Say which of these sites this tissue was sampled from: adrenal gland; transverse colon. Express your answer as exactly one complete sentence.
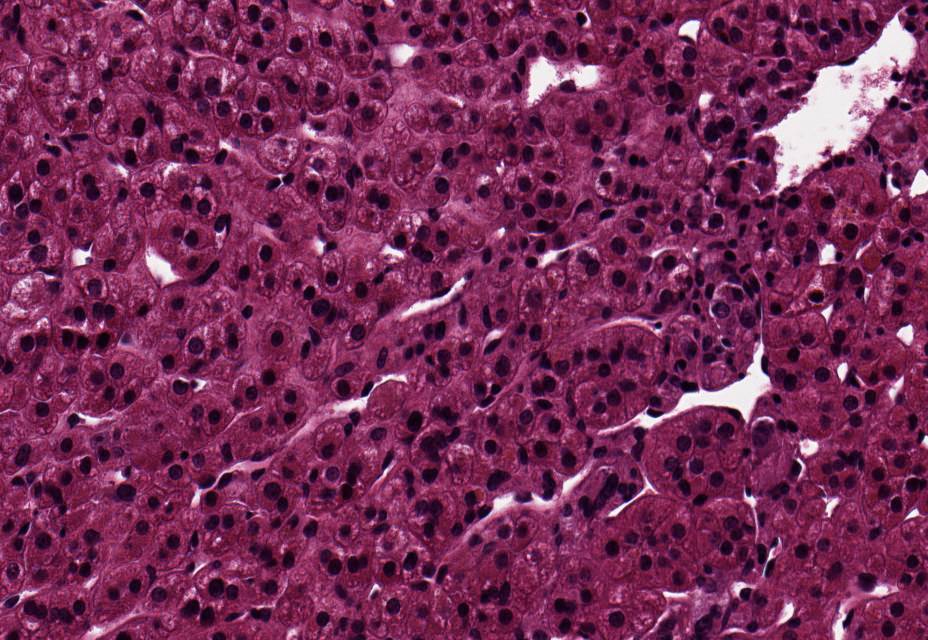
The sample on this slide was obtained from the adrenal gland.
